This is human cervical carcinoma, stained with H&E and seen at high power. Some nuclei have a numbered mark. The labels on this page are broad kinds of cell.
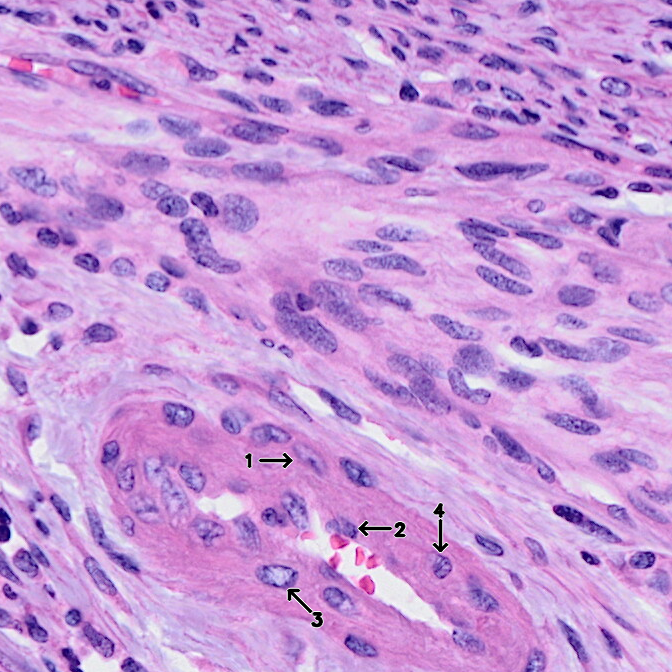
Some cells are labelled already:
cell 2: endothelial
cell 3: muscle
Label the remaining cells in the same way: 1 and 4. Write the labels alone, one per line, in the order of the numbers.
muscle
muscle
